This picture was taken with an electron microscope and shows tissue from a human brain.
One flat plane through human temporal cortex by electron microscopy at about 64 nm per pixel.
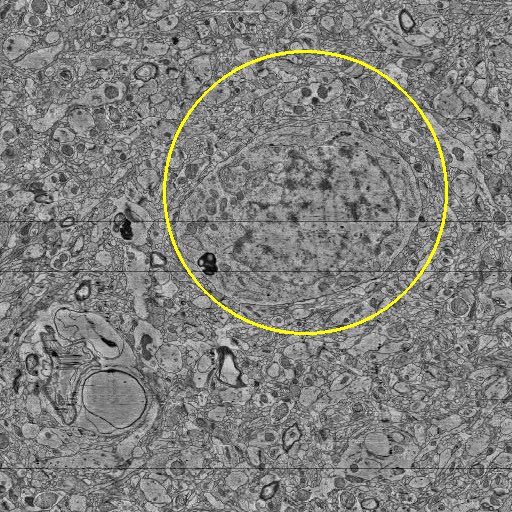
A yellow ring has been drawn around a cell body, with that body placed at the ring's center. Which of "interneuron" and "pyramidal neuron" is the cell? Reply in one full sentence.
In this picture, an interneuron is the cell at the center of the yellow ring.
